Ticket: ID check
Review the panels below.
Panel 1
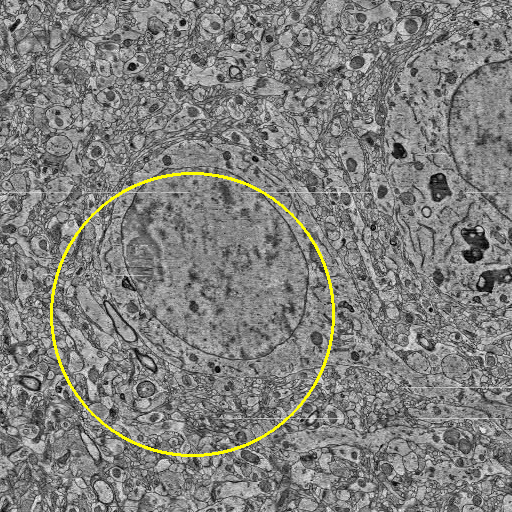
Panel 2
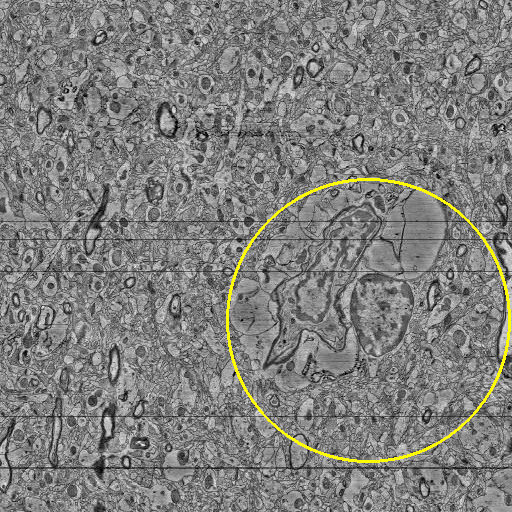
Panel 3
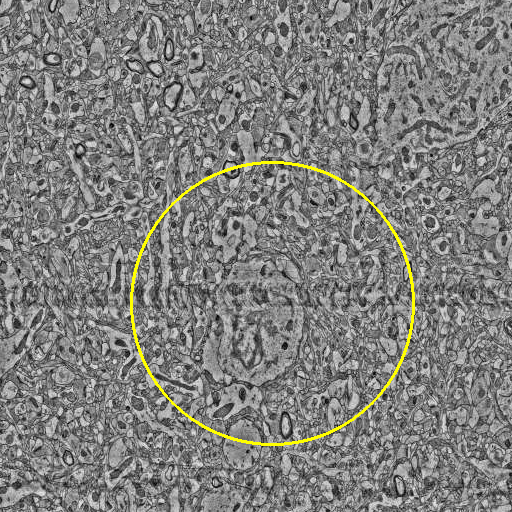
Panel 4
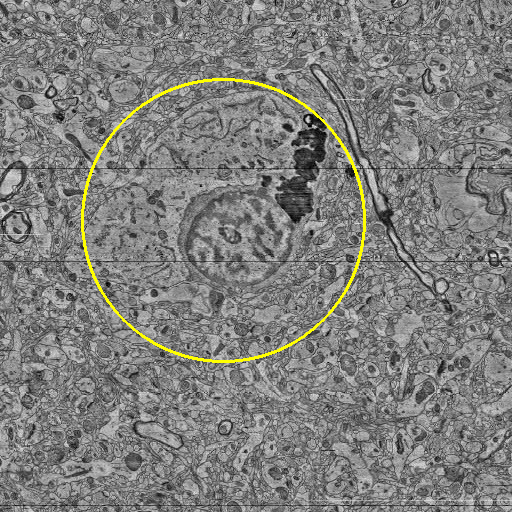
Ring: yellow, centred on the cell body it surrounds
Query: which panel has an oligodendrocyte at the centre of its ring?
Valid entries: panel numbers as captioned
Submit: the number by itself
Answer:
4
